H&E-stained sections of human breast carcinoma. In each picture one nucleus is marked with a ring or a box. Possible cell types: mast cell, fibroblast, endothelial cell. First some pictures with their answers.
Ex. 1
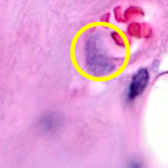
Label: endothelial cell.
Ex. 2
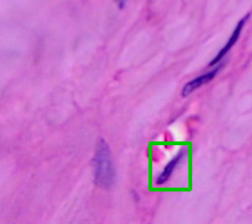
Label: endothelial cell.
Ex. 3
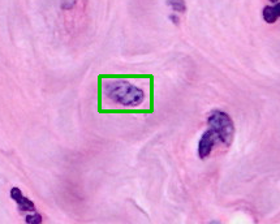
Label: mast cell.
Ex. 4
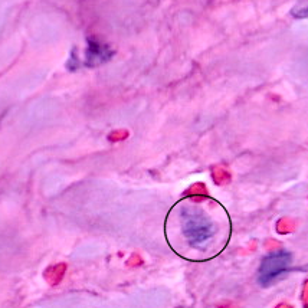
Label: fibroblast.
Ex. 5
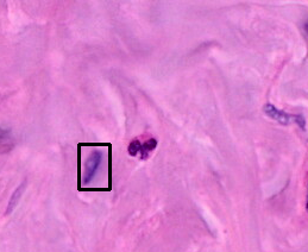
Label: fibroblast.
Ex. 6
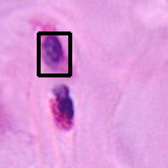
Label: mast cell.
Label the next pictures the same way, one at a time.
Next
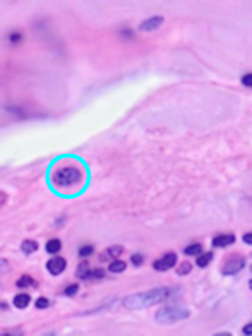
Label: mast cell.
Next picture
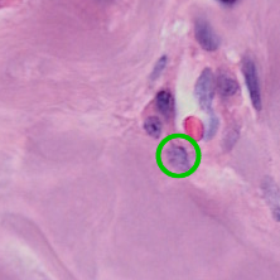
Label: endothelial cell.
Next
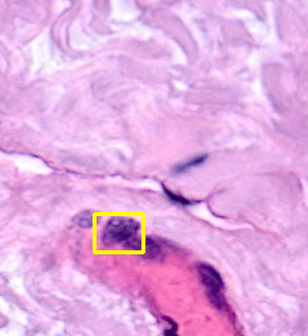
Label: endothelial cell.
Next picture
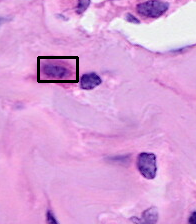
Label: mast cell.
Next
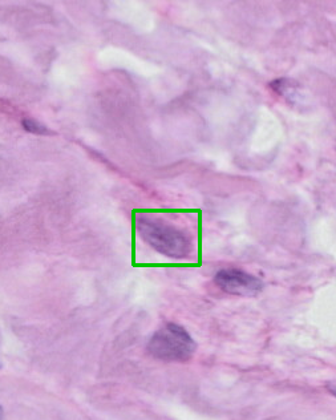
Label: fibroblast.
